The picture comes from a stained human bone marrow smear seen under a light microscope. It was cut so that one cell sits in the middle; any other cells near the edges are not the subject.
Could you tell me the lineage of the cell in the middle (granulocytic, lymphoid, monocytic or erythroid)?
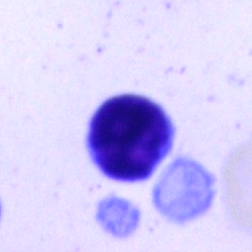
lymphoid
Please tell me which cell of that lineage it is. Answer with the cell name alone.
lymphocyte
